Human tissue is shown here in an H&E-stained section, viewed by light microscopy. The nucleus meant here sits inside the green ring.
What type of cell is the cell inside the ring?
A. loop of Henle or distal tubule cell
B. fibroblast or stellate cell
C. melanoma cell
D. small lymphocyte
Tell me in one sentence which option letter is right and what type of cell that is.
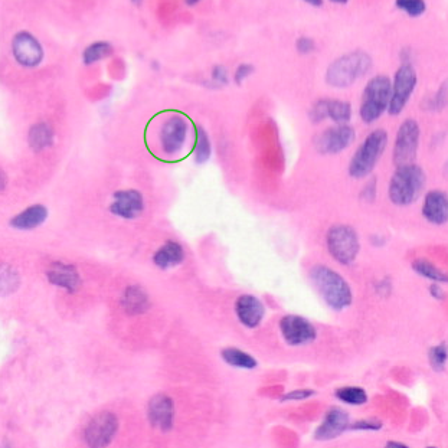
Option A is the correct one: the cell inside the ring is a loop of Henle or distal tubule cell.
